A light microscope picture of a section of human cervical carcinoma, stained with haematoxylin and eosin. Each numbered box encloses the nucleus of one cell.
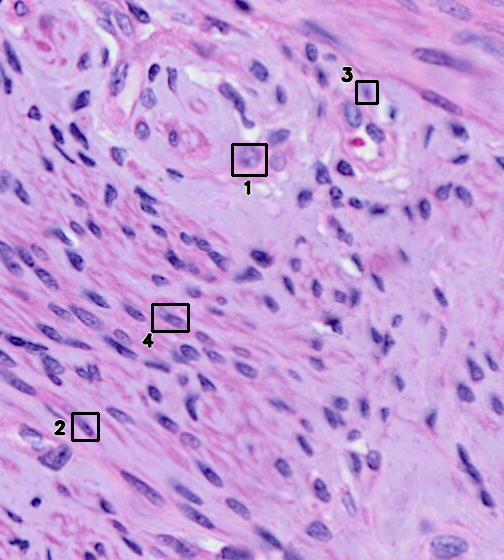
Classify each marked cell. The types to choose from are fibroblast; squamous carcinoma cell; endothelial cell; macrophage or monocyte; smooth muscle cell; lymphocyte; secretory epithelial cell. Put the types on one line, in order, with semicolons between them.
endothelial cell; smooth muscle cell; smooth muscle cell; smooth muscle cell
